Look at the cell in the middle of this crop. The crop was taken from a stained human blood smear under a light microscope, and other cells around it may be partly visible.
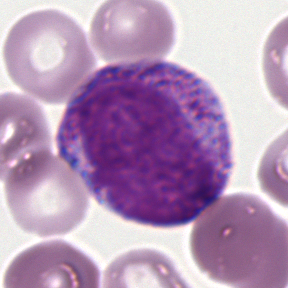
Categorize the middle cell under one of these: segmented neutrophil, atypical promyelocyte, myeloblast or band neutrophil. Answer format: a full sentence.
Standing at the centre of this crop is an atypical promyelocyte.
